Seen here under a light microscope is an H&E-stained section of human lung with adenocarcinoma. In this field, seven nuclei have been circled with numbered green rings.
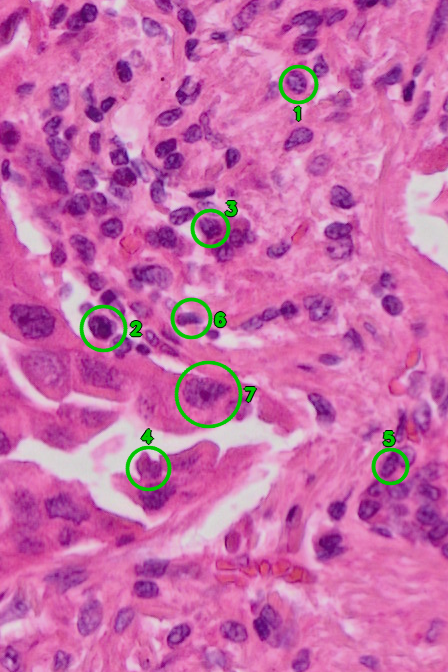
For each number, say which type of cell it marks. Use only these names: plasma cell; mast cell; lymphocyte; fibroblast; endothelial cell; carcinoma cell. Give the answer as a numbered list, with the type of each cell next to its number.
1. mast cell
2. lymphocyte
3. plasma cell
4. carcinoma cell
5. plasma cell
6. lymphocyte
7. carcinoma cell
